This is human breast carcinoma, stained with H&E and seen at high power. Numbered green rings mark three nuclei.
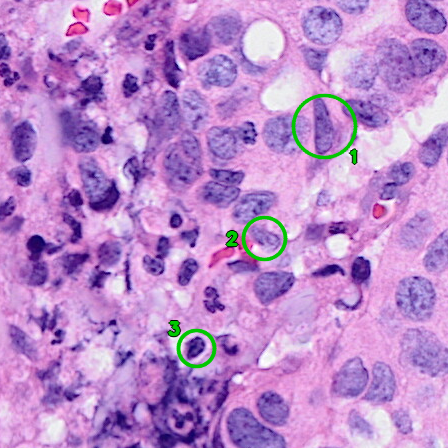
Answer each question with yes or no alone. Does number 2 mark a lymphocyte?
no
